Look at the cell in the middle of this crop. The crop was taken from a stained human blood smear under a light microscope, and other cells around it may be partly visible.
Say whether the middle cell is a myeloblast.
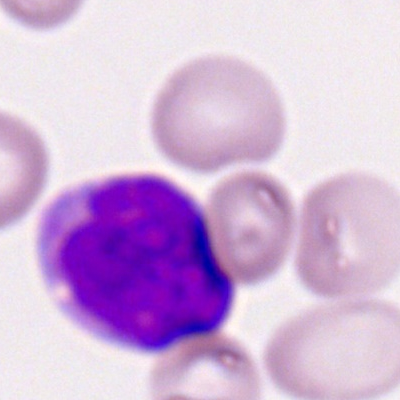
yes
